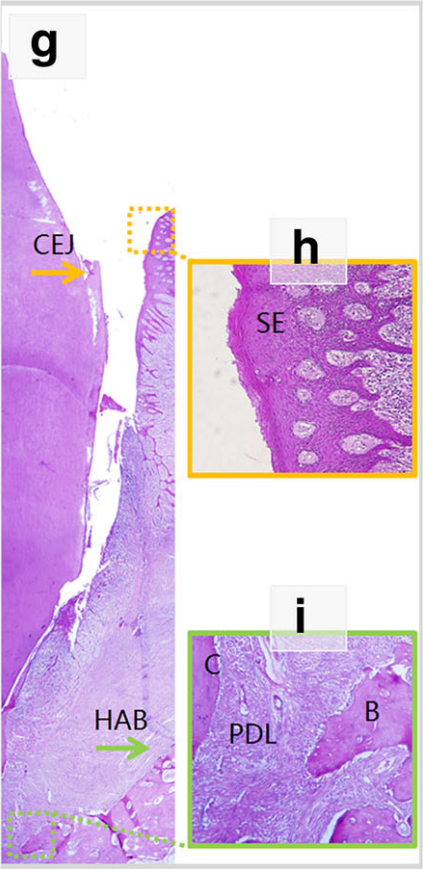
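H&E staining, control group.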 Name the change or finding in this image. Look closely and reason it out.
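A long, narrow empty cleft runs down between the tooth surface and the soft tissue. The cleft reaches far below the top of the gingiva toward the bone.
Conclusion: deep periodontal pockets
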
